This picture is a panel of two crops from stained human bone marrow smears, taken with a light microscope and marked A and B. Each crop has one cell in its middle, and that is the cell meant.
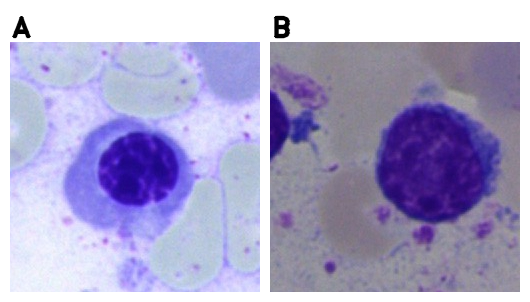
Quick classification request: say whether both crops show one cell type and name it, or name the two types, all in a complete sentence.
No, a lymphocyte is the cell in crop B, and crop A contains an erythroblast.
